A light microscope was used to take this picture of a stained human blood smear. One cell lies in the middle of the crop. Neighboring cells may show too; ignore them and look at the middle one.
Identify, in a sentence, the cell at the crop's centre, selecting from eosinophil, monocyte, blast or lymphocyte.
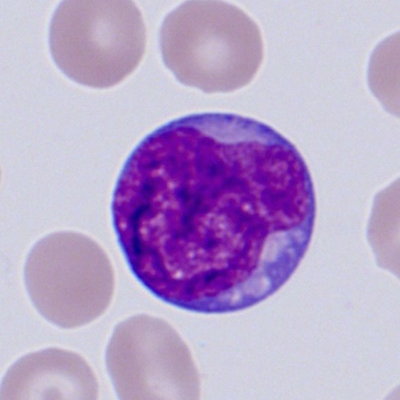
As for the central cell, it is a blast.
